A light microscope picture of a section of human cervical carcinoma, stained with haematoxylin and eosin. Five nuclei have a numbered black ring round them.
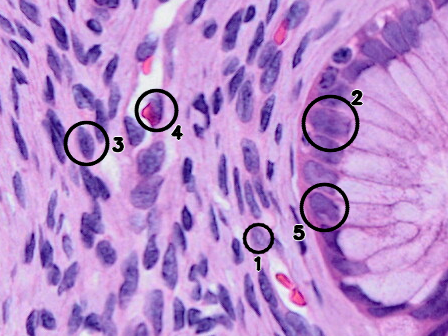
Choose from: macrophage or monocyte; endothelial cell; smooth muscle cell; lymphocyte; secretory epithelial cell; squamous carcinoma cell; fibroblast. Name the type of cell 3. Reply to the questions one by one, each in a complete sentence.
Among the marked cells, number 3 is a fibroblast.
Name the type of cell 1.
The nucleus with number 1 is that of an endothelial cell.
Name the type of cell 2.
The nucleus marked 2 is the nucleus of a secretory epithelial cell.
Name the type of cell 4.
In this section, the cell numbered 4 is an endothelial cell.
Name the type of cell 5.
The cell referenced by the number 5 is a secretory epithelial cell in this field.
